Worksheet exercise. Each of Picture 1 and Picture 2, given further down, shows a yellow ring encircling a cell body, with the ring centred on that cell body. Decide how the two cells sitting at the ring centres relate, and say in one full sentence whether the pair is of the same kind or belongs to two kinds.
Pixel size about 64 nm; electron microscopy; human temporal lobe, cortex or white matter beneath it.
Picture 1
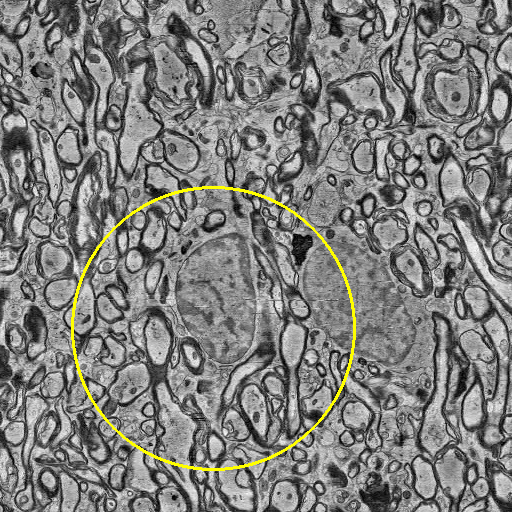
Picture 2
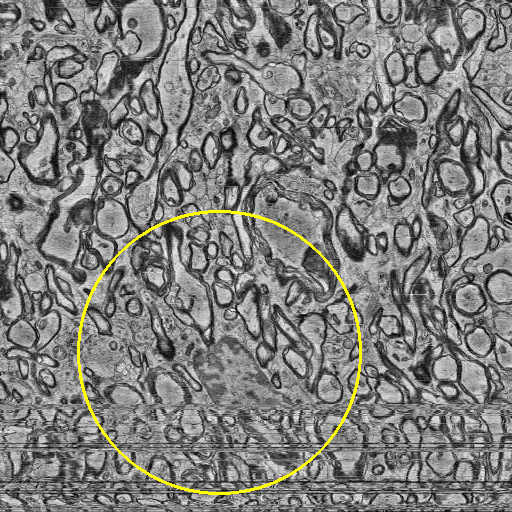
The cells at the ring centres in Picture 1 and Picture 2 are of the same kind.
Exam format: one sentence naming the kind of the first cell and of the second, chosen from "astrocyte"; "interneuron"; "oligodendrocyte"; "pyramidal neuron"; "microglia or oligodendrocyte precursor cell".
Each of the two rings surrounds a microglial cell or oligodendrocyte precursor cell.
